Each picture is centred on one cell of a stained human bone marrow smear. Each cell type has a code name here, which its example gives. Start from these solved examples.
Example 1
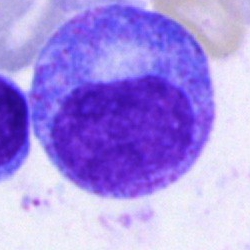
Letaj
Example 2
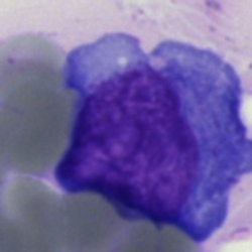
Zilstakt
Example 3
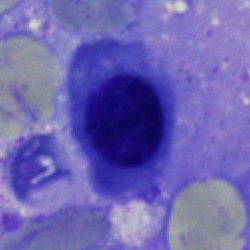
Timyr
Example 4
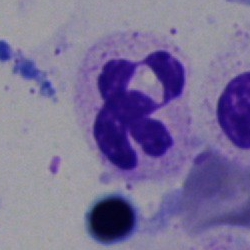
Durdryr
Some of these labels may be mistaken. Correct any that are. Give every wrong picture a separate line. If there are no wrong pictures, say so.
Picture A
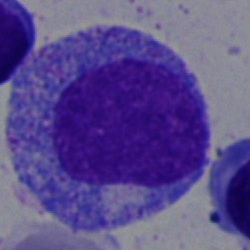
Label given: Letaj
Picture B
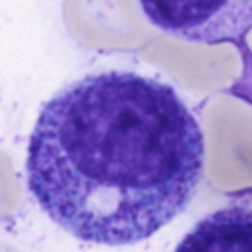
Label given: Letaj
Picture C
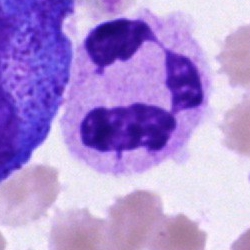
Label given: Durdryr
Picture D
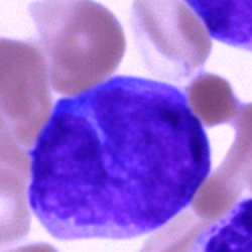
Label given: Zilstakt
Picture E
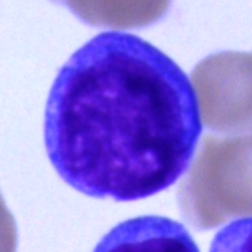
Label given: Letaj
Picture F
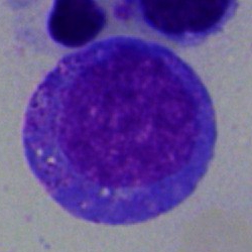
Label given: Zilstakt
E: Zilstakt, not Letaj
